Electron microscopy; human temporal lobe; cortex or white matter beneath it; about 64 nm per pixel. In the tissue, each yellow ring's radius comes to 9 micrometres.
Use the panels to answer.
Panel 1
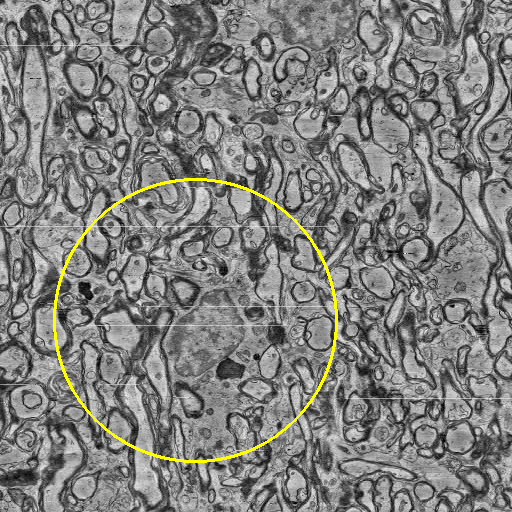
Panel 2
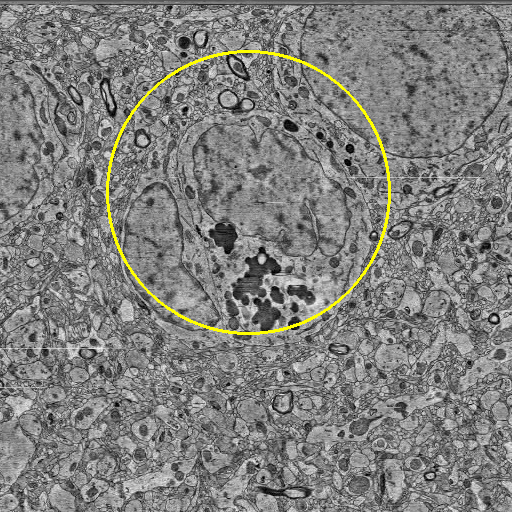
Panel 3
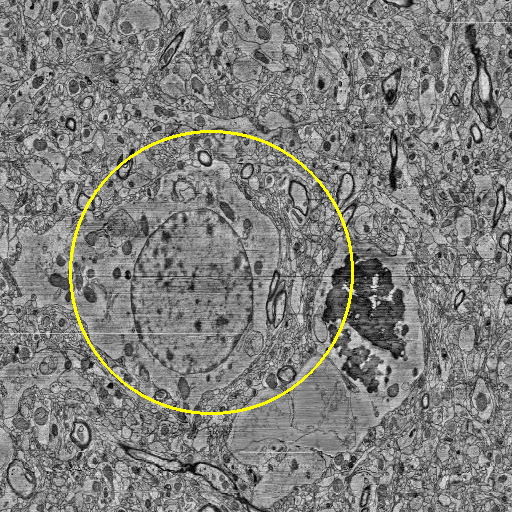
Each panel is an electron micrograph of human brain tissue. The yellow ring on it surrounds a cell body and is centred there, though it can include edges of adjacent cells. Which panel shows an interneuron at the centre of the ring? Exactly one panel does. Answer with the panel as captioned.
Panel 2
